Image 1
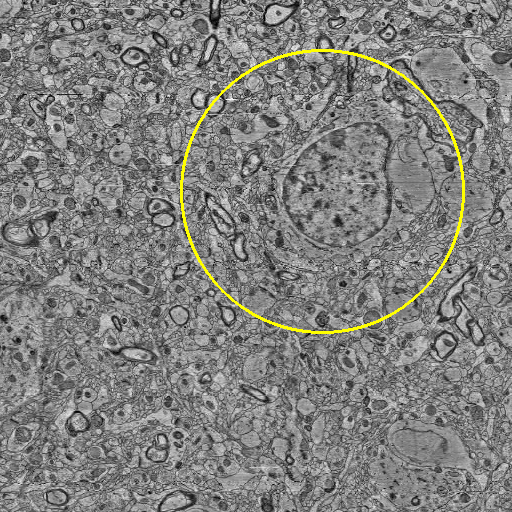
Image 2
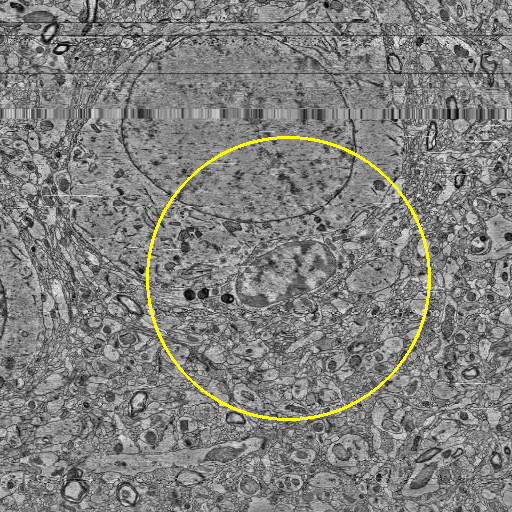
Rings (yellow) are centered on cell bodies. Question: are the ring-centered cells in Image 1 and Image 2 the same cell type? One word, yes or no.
yes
